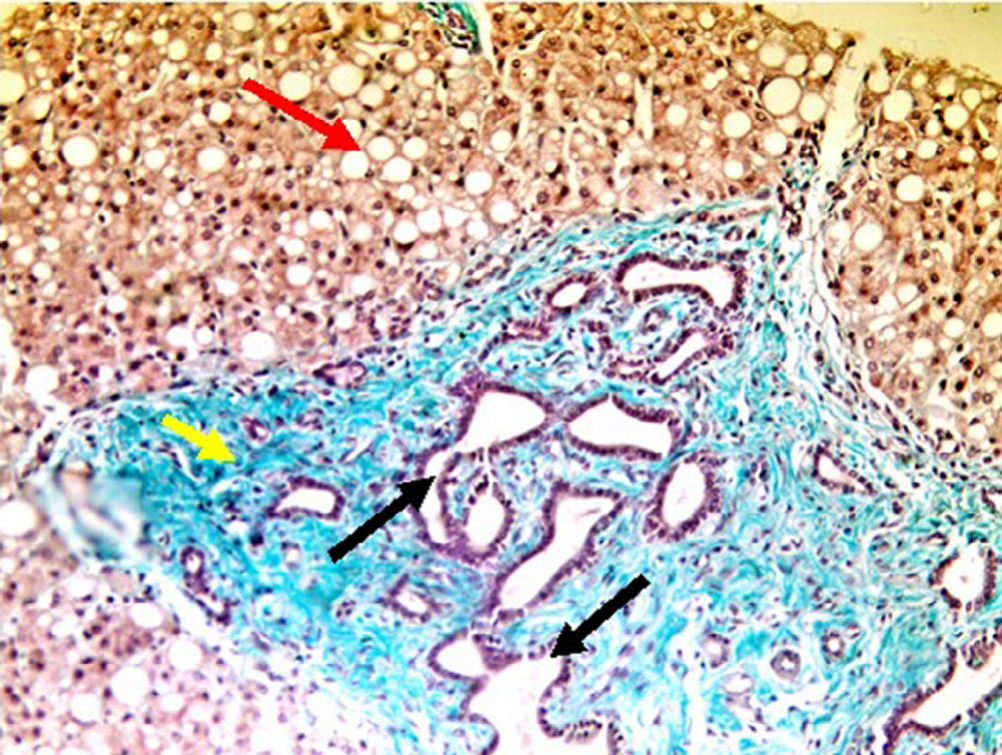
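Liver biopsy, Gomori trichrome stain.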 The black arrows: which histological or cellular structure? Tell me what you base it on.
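Irregular widened lumens lined by a single layer of cuboidal to columnar epithelium with dark nuclei. The ducts sit within the blue-green fibrous tissue. On this evidence: distorted dilated bile ducts.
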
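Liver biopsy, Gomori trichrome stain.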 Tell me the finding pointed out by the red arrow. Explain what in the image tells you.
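Many large round clear vacuoles fill the pinkish-brown hepatocytes. The vacuoles are about the size of a cell or larger. On this evidence: macrovesicular steatosis.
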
